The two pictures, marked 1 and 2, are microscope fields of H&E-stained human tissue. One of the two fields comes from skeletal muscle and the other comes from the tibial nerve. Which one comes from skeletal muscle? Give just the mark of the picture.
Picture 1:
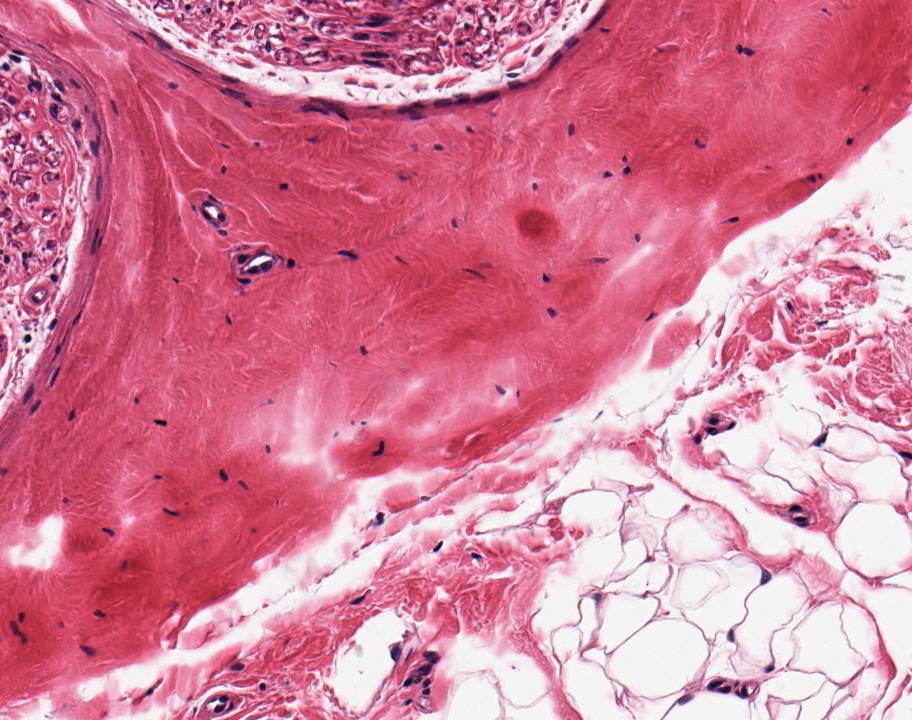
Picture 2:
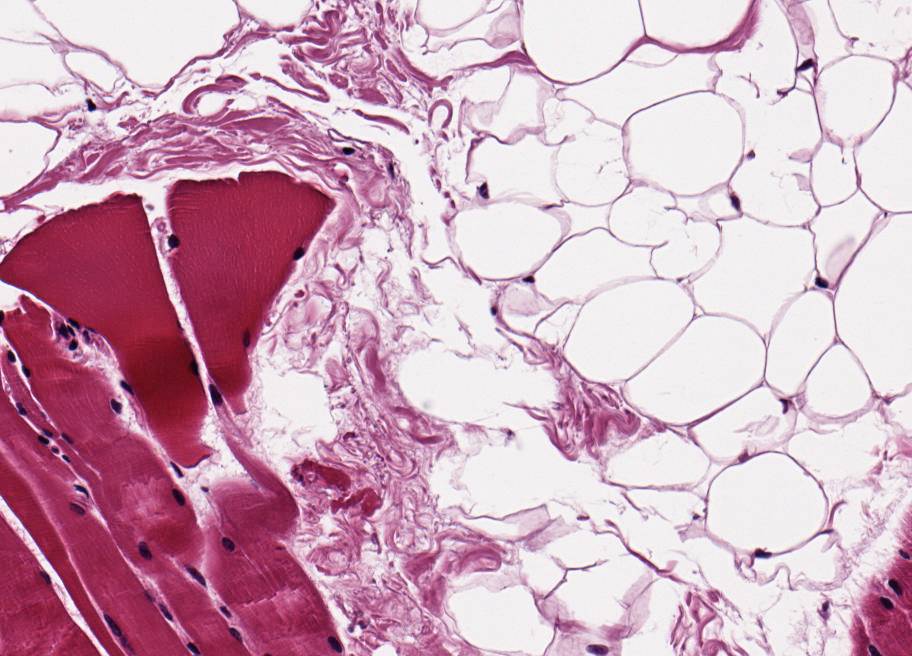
2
